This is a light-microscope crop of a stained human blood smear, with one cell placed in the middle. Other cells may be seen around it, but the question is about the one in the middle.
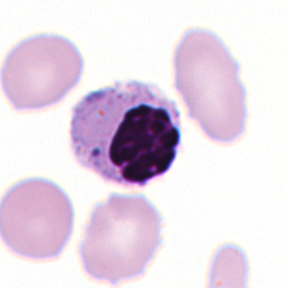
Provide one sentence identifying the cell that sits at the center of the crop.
The centrally positioned cell in the crop represents an erythroblast.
